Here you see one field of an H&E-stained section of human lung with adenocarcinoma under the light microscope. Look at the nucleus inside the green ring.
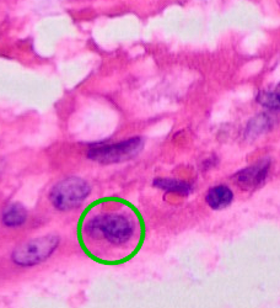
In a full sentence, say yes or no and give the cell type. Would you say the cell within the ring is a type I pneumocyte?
No, kindly revise that, as the cell within the ring is a macrophage or monocyte rather than a type I pneumocyte.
